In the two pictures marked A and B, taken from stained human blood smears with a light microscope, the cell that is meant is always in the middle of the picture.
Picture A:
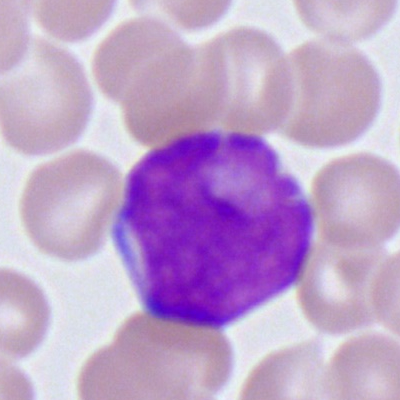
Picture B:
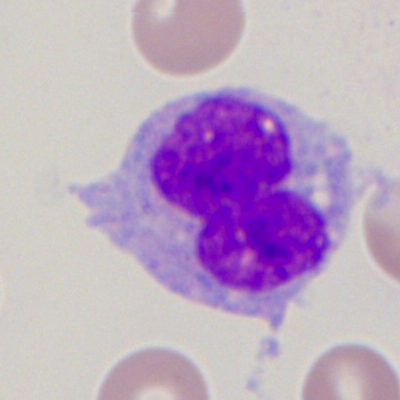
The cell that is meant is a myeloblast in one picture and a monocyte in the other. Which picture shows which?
A: myeloblast
B: monocyte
